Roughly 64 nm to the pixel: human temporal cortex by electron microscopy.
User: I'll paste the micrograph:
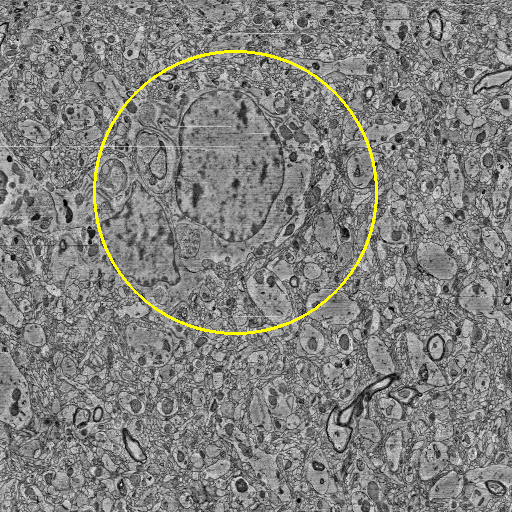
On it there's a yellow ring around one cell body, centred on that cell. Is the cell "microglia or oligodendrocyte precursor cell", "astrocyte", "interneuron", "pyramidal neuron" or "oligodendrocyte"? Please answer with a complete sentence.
The cell ringed in yellow is an astrocyte.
